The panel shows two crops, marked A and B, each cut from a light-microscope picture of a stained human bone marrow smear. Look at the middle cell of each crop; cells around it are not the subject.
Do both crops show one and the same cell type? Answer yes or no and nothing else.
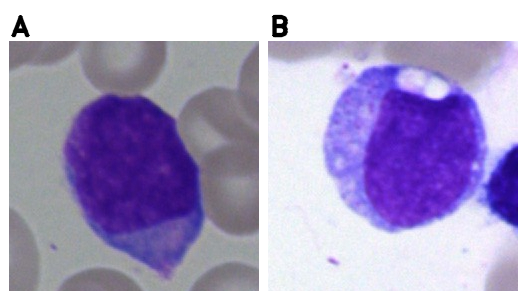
yes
